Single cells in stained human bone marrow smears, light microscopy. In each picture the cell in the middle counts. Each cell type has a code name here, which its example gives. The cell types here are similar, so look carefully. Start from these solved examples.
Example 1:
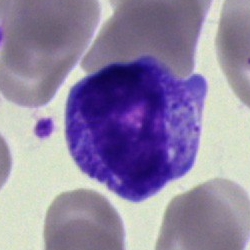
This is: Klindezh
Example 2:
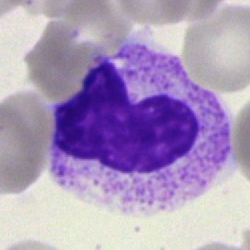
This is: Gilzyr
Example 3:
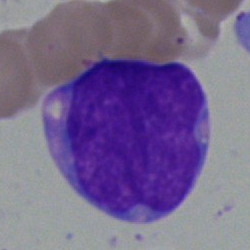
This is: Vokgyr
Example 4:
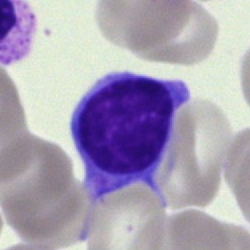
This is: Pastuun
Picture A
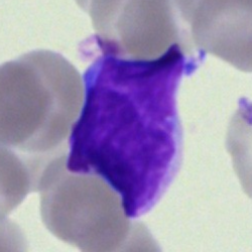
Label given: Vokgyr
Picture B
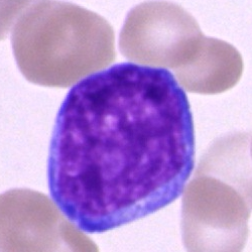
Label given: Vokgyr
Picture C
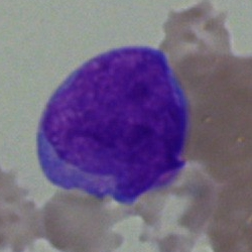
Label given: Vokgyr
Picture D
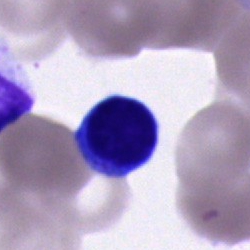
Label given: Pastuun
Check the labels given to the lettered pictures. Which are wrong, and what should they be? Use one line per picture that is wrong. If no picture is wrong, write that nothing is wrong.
Nothing to fix; every label fits.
